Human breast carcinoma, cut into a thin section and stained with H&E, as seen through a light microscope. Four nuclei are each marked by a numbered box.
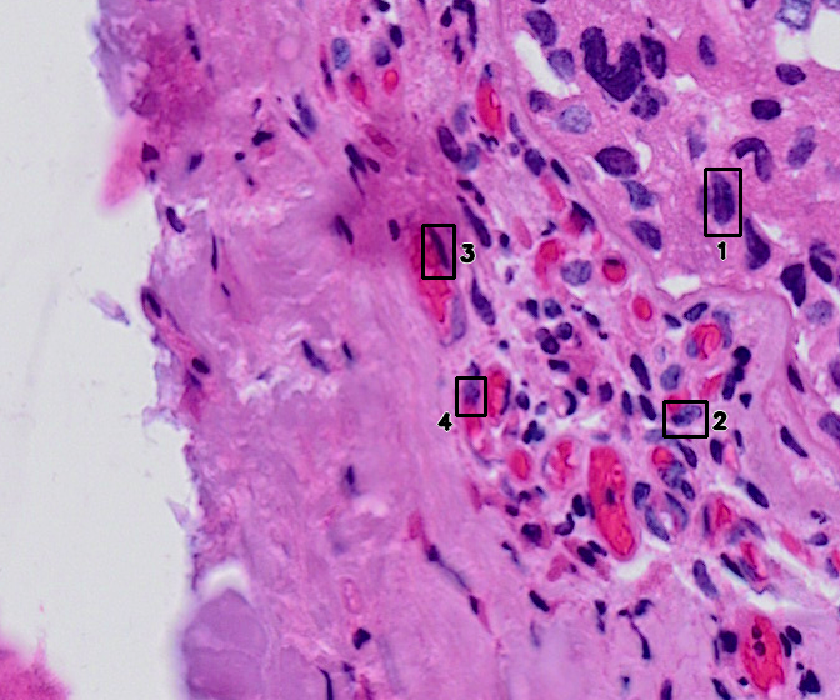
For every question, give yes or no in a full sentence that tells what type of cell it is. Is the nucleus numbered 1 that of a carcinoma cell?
Yes, the cell labelled with number 1 is a carcinoma cell.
